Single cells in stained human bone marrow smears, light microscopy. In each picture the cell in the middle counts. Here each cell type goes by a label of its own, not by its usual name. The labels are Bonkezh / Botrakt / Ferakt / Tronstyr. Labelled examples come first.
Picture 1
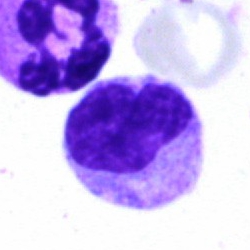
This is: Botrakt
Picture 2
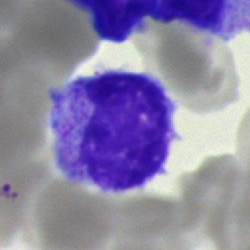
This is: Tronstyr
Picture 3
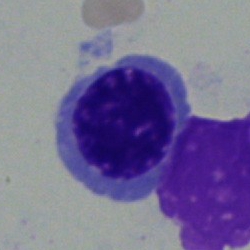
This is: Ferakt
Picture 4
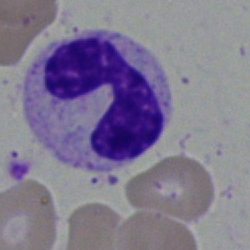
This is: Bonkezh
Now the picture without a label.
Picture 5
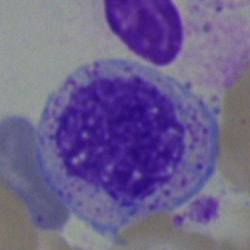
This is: Tronstyr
